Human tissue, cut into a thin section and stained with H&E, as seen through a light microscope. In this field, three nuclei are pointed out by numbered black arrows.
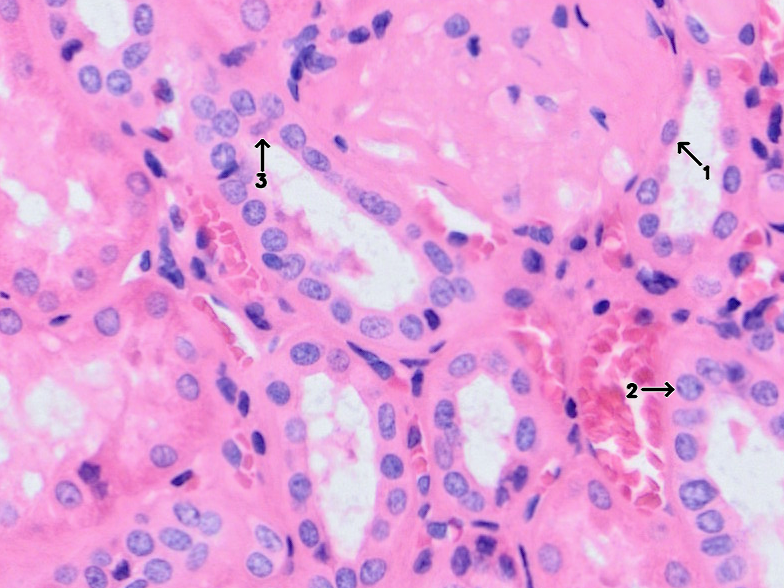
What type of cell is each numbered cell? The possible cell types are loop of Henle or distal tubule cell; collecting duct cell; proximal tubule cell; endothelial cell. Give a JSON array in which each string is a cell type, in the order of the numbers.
["loop of Henle or distal tubule cell", "collecting duct cell", "collecting duct cell"]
